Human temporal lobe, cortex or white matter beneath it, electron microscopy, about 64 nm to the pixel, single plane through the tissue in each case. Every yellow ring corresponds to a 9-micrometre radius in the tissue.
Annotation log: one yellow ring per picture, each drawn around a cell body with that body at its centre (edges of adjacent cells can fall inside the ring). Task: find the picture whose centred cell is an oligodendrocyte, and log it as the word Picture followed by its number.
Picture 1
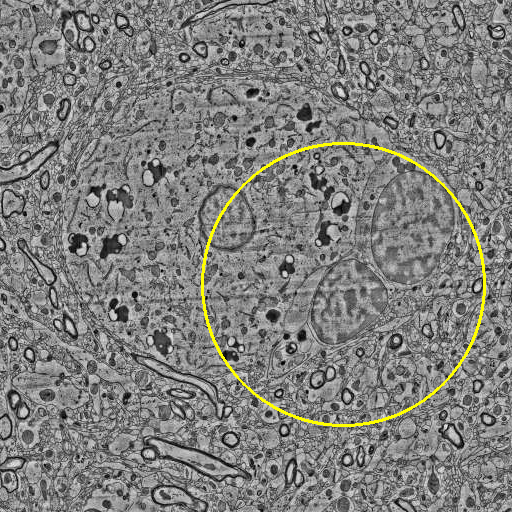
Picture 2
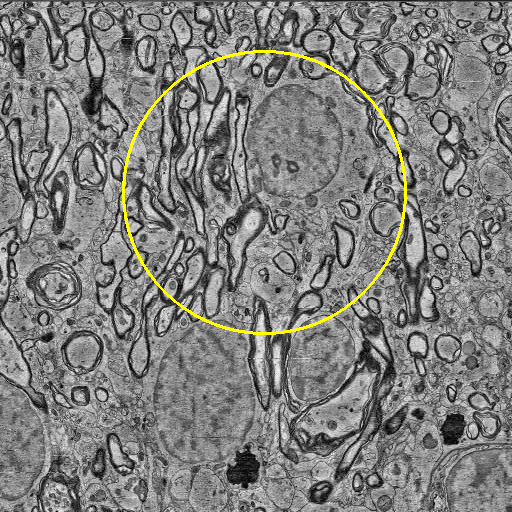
Picture 2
